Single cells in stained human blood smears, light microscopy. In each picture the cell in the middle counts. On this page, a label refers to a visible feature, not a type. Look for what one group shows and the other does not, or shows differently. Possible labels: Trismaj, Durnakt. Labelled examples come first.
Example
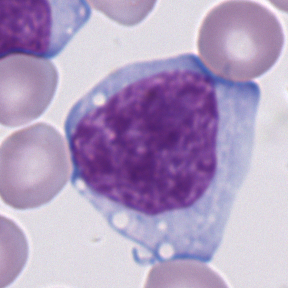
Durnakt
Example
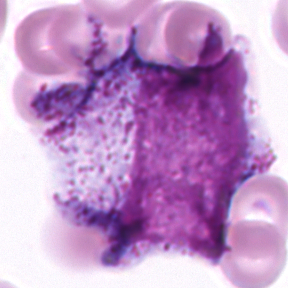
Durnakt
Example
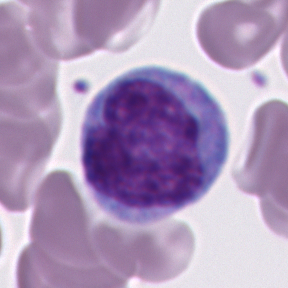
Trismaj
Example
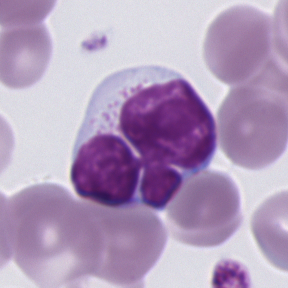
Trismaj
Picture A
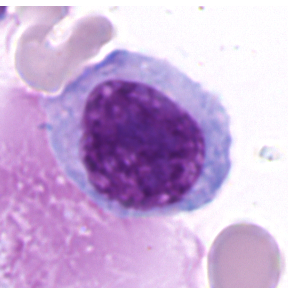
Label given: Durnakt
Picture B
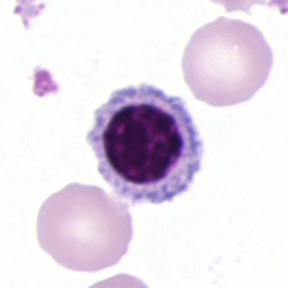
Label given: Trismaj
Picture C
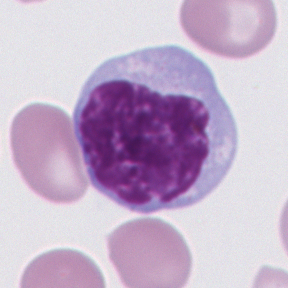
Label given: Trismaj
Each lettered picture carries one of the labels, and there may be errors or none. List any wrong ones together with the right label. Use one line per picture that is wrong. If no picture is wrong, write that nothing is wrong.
A: Trismaj, not Durnakt
B: Durnakt, not Trismaj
